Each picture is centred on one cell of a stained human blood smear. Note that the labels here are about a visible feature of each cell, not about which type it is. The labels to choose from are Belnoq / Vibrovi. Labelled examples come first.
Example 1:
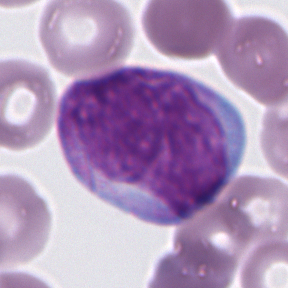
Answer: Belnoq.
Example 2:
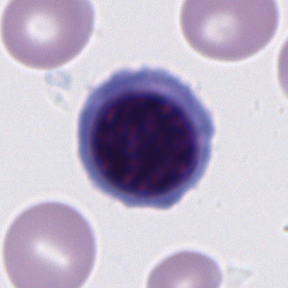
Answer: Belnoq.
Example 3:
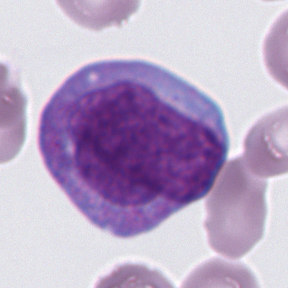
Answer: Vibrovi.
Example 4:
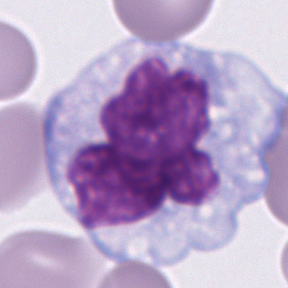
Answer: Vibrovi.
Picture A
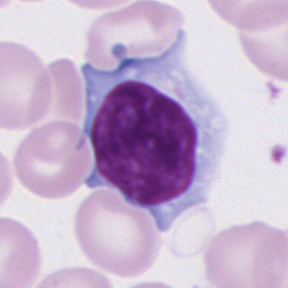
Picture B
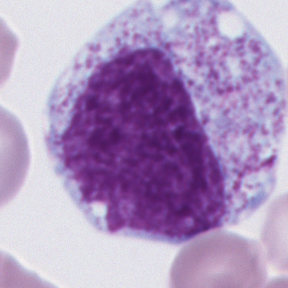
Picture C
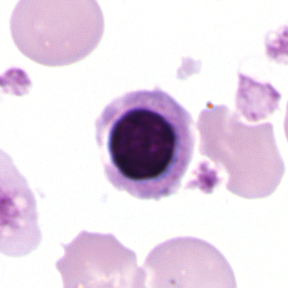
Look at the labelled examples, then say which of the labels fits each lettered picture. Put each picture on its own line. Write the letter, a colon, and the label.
A: Vibrovi.
B: Vibrovi.
C: Belnoq.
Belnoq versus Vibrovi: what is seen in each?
Belnoq, no vacuoles; Vibrovi, vacuoles present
